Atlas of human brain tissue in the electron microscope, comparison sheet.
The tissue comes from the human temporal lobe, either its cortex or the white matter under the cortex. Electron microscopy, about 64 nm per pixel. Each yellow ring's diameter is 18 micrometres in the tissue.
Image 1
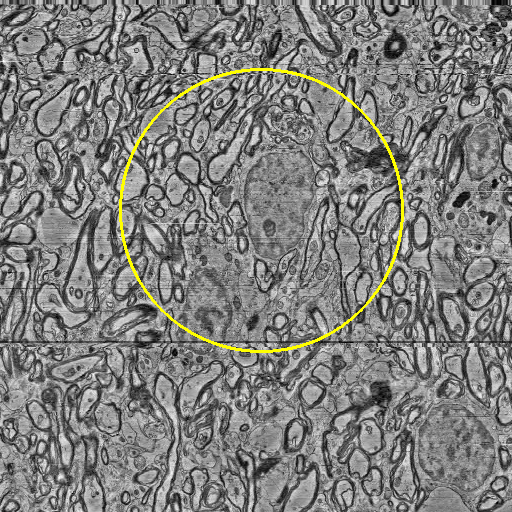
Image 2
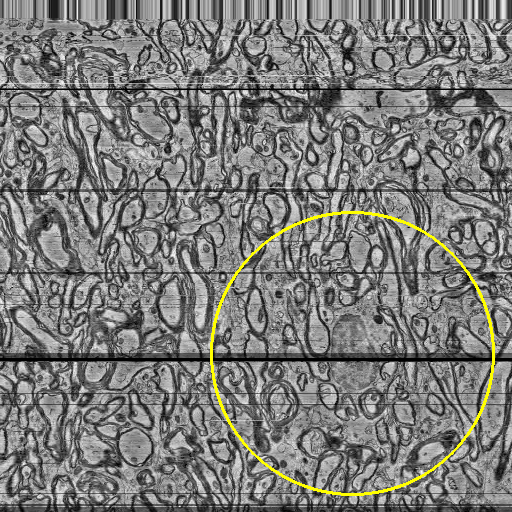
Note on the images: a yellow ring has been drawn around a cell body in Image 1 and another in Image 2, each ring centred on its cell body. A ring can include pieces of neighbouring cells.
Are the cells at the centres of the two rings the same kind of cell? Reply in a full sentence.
Yes, both cells are of the same kind.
